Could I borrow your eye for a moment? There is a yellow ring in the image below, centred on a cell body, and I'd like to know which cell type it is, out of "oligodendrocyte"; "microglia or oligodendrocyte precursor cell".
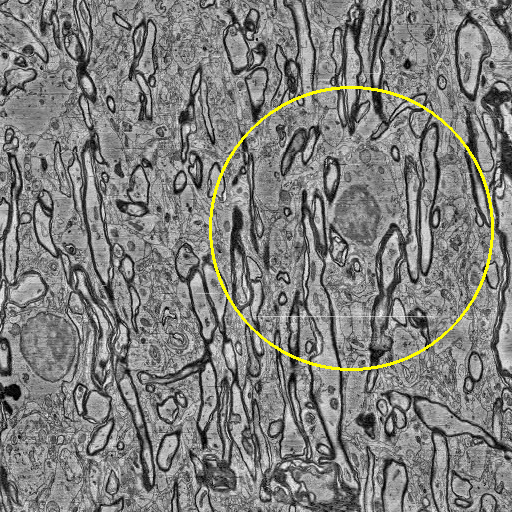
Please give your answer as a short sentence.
The cell body at the centre is that of an oligodendrocyte.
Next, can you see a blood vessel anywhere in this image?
No, the picture includes no blood vessel.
